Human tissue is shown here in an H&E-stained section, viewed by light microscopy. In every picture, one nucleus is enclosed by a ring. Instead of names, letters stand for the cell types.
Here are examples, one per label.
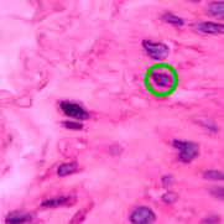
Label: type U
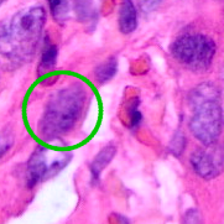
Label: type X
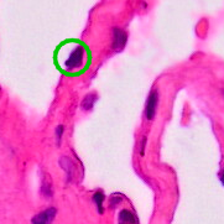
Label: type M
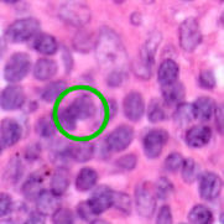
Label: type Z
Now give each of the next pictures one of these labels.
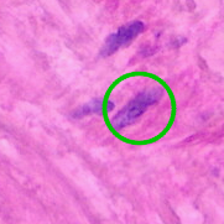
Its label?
type U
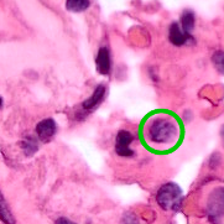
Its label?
type M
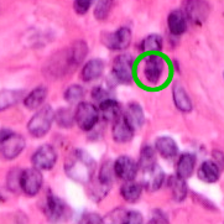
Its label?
type Z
